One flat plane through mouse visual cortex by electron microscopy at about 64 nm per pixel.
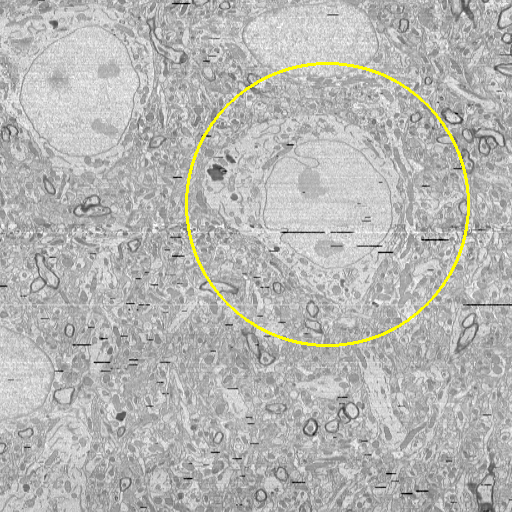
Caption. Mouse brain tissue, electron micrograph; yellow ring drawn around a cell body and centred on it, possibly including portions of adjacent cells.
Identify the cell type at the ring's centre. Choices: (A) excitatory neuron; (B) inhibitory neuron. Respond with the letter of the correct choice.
A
